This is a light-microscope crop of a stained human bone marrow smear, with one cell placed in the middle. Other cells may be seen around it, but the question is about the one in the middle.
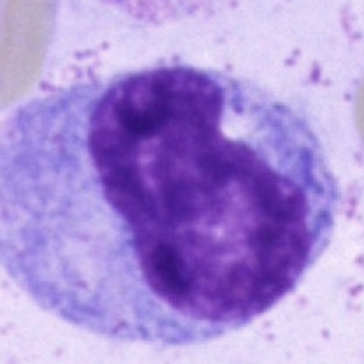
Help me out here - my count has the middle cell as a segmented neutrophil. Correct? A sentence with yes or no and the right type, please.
No, rather than a segmented neutrophil, the central cell is a monocyte.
